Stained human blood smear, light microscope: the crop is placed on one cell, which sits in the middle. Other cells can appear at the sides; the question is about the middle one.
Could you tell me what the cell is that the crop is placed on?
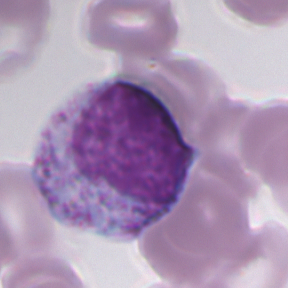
myelocyte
